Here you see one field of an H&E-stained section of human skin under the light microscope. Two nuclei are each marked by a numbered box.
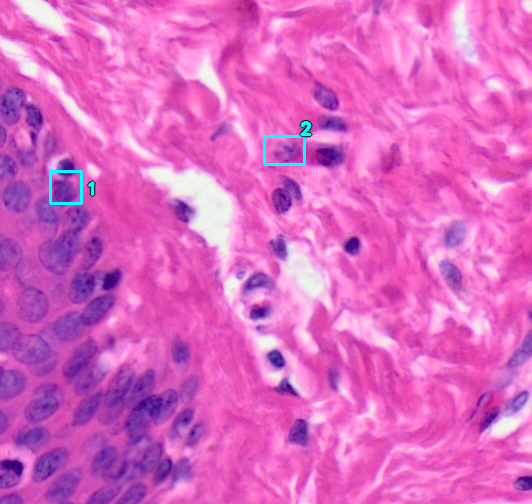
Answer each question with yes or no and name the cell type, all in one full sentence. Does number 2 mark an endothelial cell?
Yes, the numbered nucleus 2 is that of an endothelial cell.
